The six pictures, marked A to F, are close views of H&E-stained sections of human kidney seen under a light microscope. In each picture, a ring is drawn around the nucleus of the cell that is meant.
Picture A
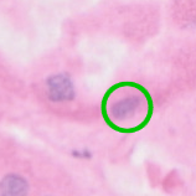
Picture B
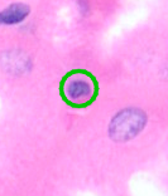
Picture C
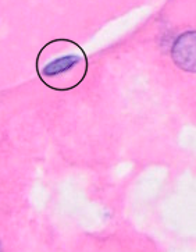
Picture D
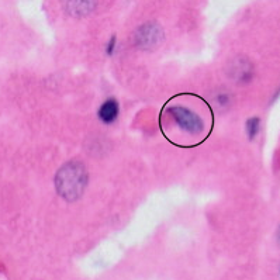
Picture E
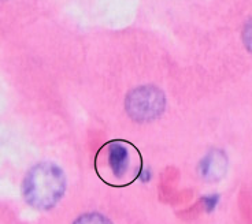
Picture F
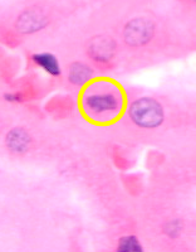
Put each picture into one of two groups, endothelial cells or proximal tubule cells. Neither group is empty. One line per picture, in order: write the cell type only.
proximal tubule cell
endothelial cell
endothelial cell
endothelial cell
endothelial cell
proximal tubule cell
